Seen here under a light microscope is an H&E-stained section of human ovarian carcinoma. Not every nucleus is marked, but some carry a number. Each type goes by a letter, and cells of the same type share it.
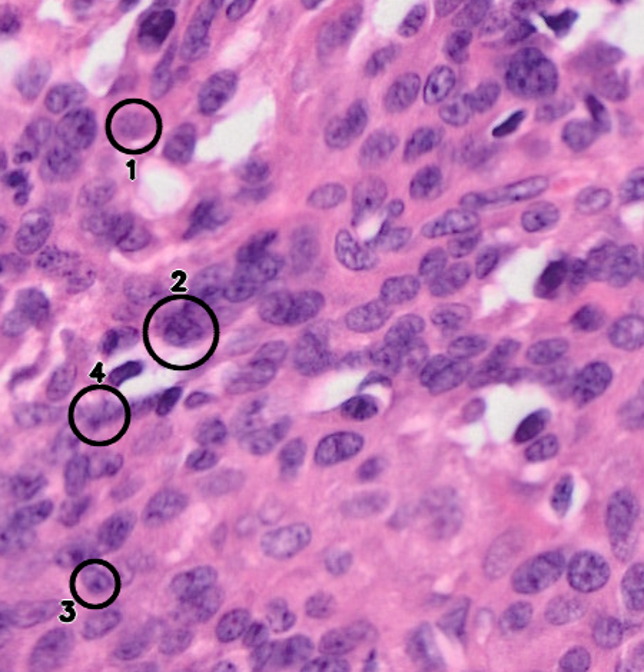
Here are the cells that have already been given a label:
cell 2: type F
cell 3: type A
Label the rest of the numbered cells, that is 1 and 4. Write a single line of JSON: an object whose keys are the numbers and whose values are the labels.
{"1": "type F", "4": "type F"}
